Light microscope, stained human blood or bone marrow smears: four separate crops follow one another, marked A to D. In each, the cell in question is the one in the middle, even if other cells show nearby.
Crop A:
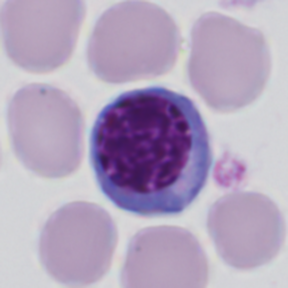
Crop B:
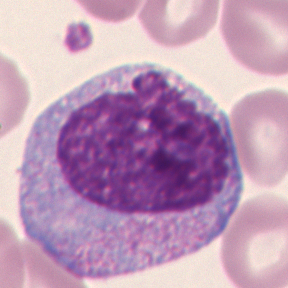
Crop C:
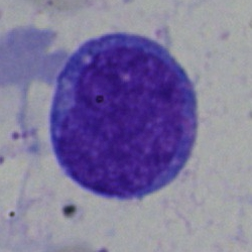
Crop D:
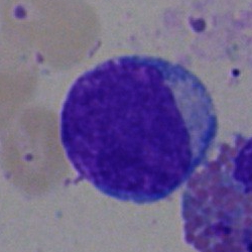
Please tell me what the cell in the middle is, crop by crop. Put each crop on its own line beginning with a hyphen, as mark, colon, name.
- A: erythroblast
- B: promyelocyte
- C: blast
- D: blast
